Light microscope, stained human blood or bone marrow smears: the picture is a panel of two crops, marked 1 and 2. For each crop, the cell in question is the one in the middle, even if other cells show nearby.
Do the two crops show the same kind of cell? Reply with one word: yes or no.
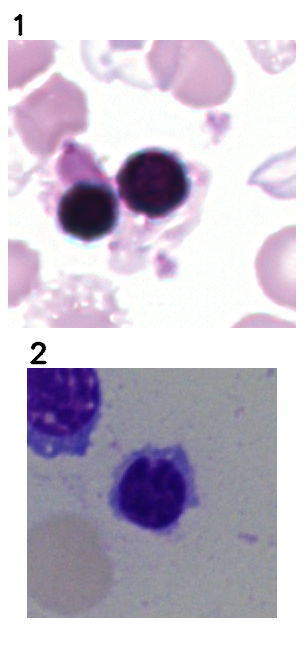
yes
